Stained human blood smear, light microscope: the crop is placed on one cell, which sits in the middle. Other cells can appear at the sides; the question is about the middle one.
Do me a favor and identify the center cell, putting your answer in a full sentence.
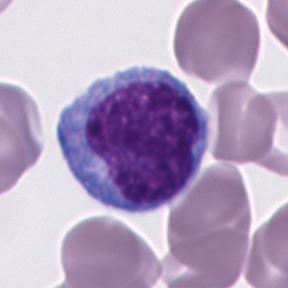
The central cell shown in this smear crop is a monocyte.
